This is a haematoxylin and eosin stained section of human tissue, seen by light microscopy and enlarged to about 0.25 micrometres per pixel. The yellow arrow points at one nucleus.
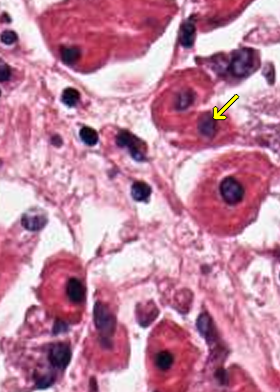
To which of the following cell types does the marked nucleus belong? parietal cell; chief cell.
parietal cell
